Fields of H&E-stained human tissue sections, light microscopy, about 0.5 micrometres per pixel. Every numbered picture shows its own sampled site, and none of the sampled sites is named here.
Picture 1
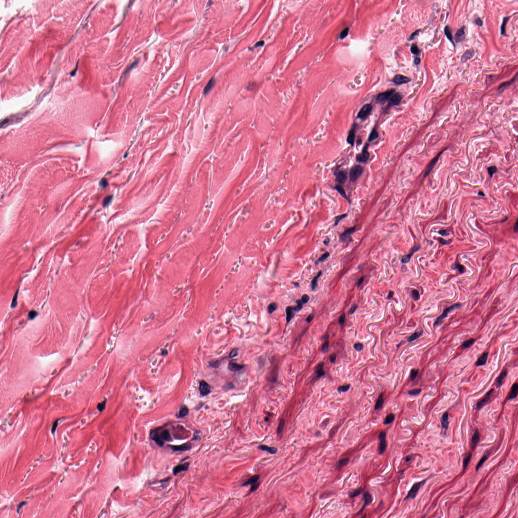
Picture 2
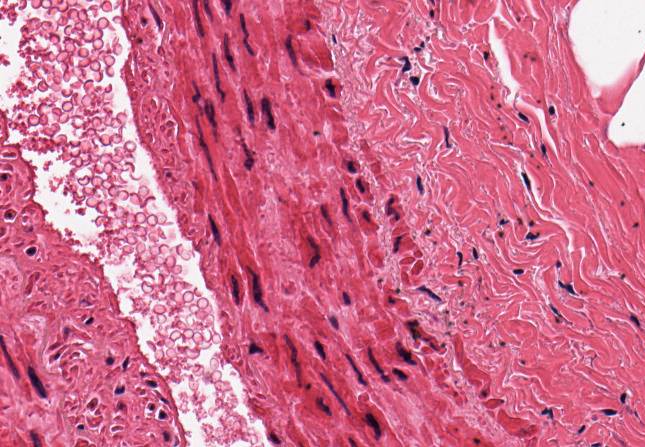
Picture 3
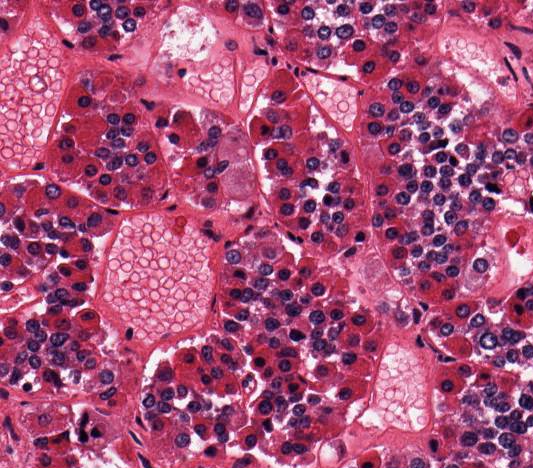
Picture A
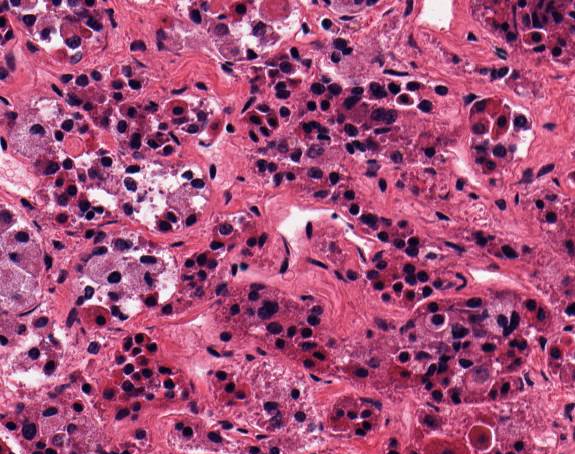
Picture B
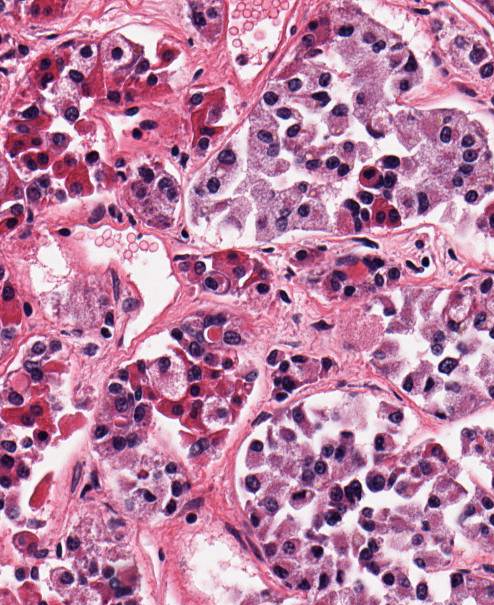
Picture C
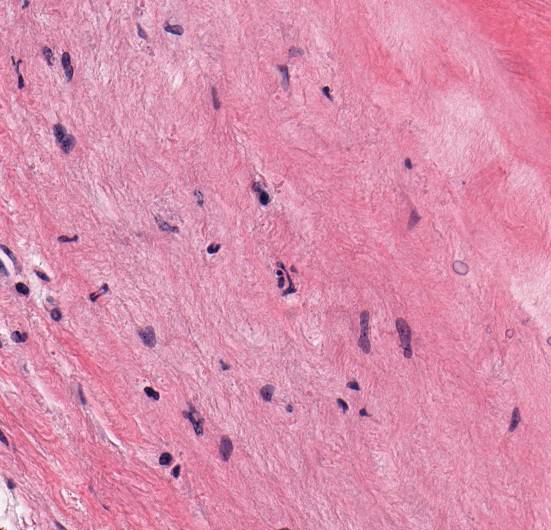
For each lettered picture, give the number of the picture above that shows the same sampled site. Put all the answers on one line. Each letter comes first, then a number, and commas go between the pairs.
A 3, B 3, C 2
